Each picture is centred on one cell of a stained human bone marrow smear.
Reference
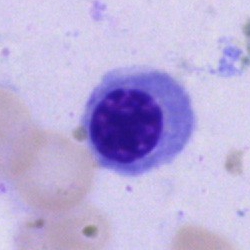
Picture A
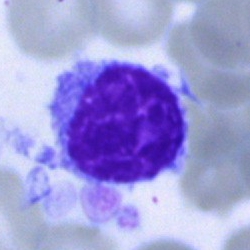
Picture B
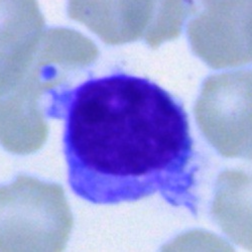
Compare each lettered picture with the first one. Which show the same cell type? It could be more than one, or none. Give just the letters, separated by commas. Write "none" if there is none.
none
